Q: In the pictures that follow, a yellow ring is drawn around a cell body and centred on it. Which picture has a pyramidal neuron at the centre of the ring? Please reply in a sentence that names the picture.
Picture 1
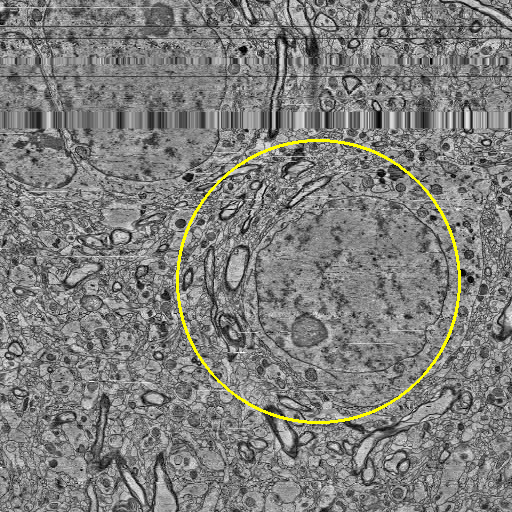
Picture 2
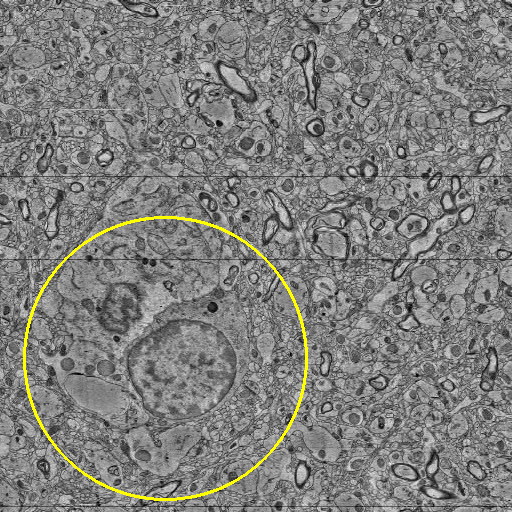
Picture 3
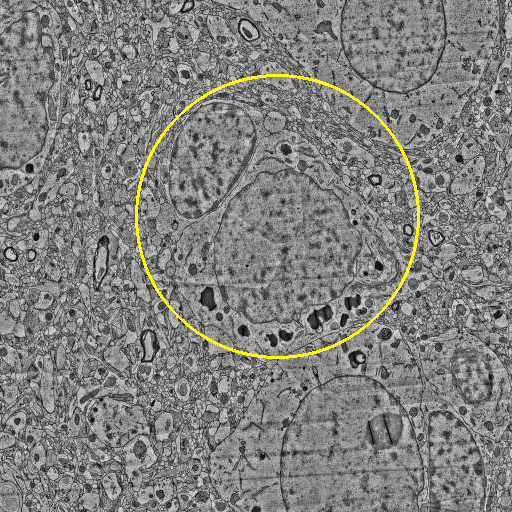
Picture 1 shows it at the centre of its ring.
